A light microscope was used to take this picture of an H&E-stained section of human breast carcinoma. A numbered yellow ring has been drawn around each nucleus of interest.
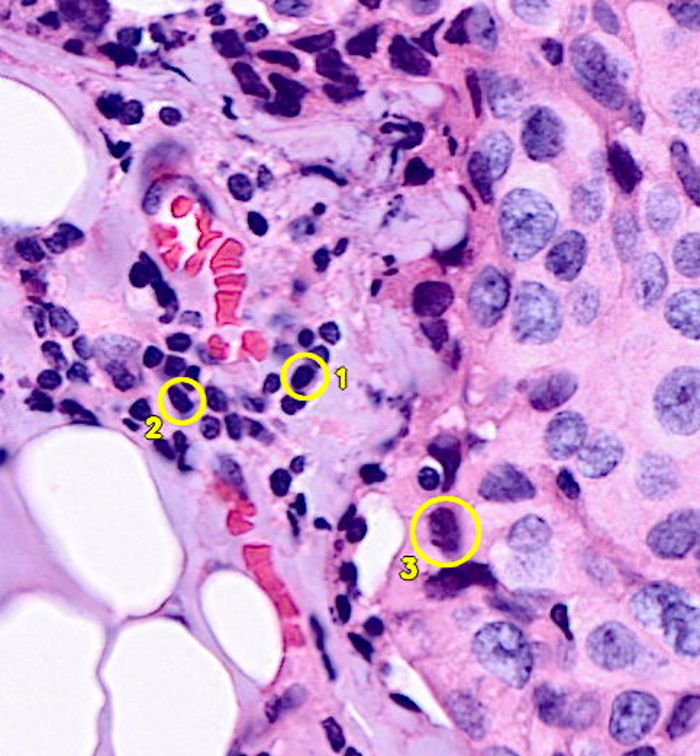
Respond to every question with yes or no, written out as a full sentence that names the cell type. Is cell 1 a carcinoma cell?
No, rather than a carcinoma cell, cell number 1 is a lymphocyte.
